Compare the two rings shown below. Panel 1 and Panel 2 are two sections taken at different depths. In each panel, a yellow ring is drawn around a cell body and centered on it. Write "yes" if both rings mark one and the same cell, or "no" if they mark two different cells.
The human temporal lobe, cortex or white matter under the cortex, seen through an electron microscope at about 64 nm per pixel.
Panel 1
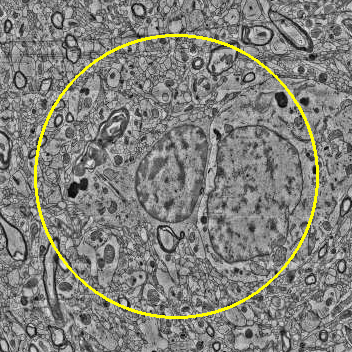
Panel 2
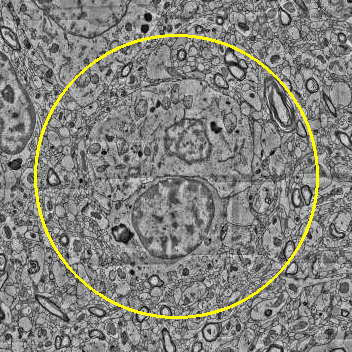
no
